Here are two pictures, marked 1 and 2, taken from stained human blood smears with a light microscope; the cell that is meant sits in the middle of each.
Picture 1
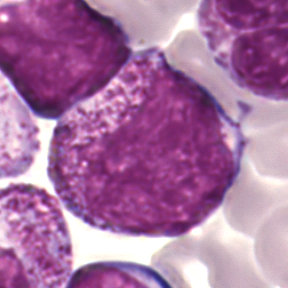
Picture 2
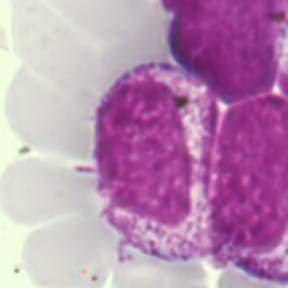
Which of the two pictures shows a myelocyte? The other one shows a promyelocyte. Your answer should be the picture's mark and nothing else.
2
